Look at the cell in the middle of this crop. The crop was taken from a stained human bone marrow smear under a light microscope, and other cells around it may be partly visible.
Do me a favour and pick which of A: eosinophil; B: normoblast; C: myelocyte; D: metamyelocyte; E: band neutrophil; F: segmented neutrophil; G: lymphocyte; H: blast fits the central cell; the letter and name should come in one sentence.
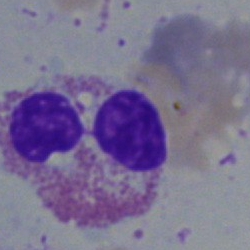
The correct identification, given in option A, is that the central cell is an eosinophil.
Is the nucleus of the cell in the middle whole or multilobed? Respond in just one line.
This cell has a nucleus made up of two or more segments.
